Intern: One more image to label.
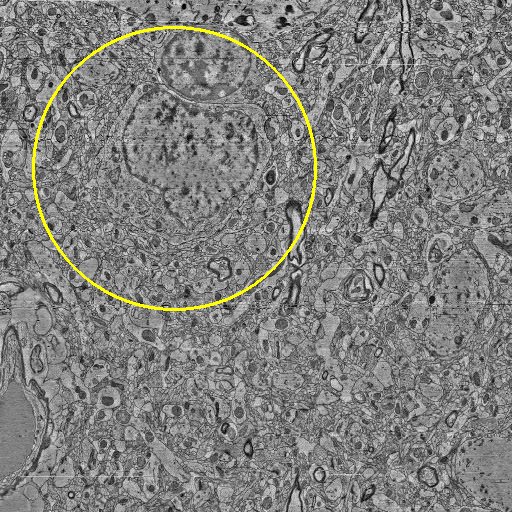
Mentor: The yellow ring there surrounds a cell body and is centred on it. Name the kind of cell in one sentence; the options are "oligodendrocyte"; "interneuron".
The ring marks the cell body of an interneuron.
